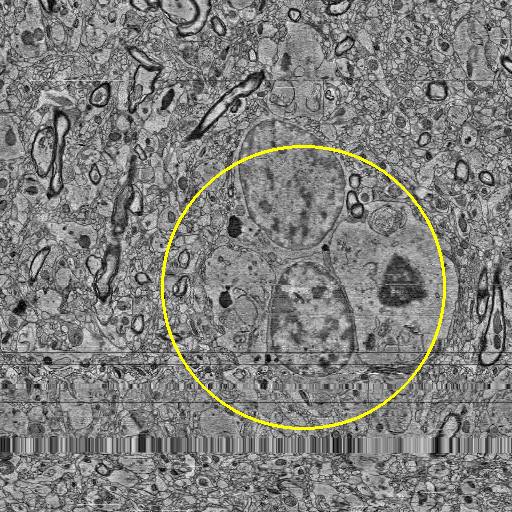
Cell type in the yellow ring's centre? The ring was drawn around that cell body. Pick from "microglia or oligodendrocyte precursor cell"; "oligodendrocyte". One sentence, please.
The ringed cell body is that of an oligodendrocyte.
